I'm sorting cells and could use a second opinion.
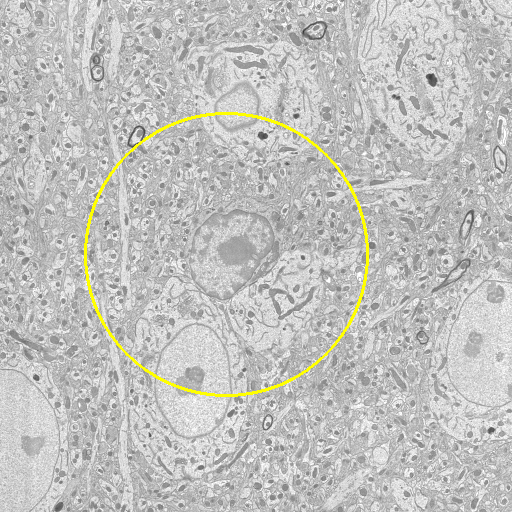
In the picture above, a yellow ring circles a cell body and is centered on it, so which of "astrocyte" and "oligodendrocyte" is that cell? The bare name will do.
oligodendrocyte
